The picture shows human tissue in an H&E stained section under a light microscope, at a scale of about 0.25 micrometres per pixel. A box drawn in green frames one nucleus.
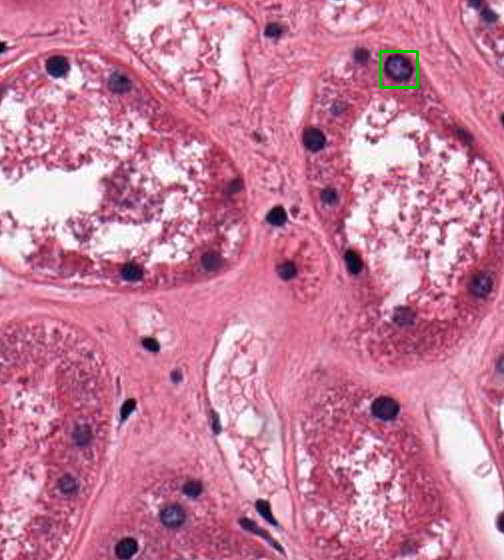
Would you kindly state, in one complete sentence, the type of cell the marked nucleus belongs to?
The nucleus with the mark belongs to a proximal tubule cell.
